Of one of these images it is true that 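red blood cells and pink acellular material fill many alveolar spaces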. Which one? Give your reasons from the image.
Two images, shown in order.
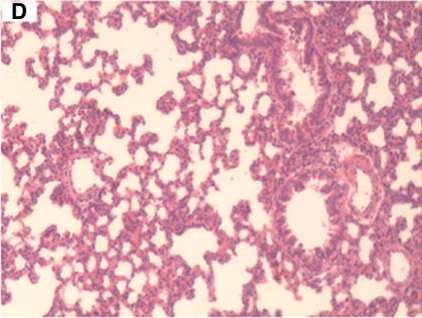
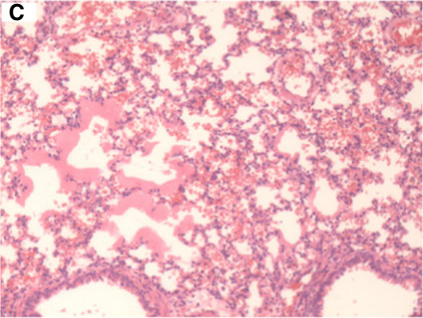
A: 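First image: airspaces are largely clear, with no pools of red cells or pink material. Second image: red blood cells are scattered through the airspaces and pink homogeneous material fills spaces on the left. The answer: the second image.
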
